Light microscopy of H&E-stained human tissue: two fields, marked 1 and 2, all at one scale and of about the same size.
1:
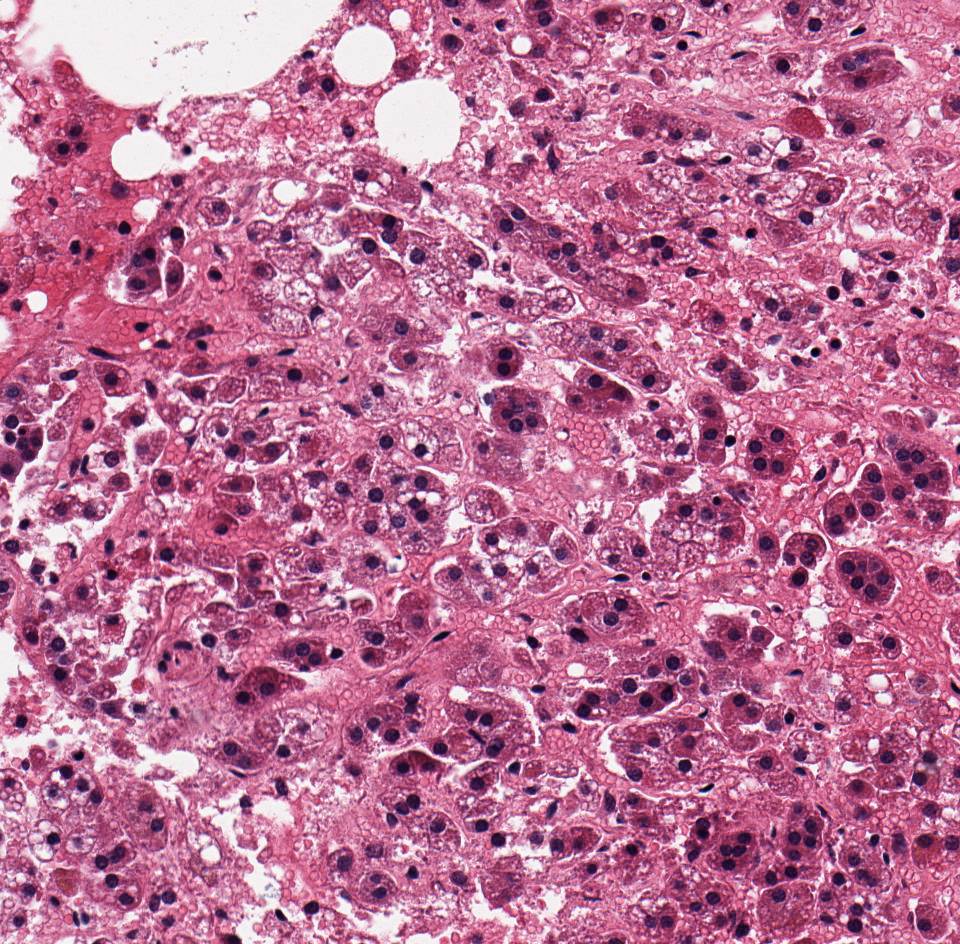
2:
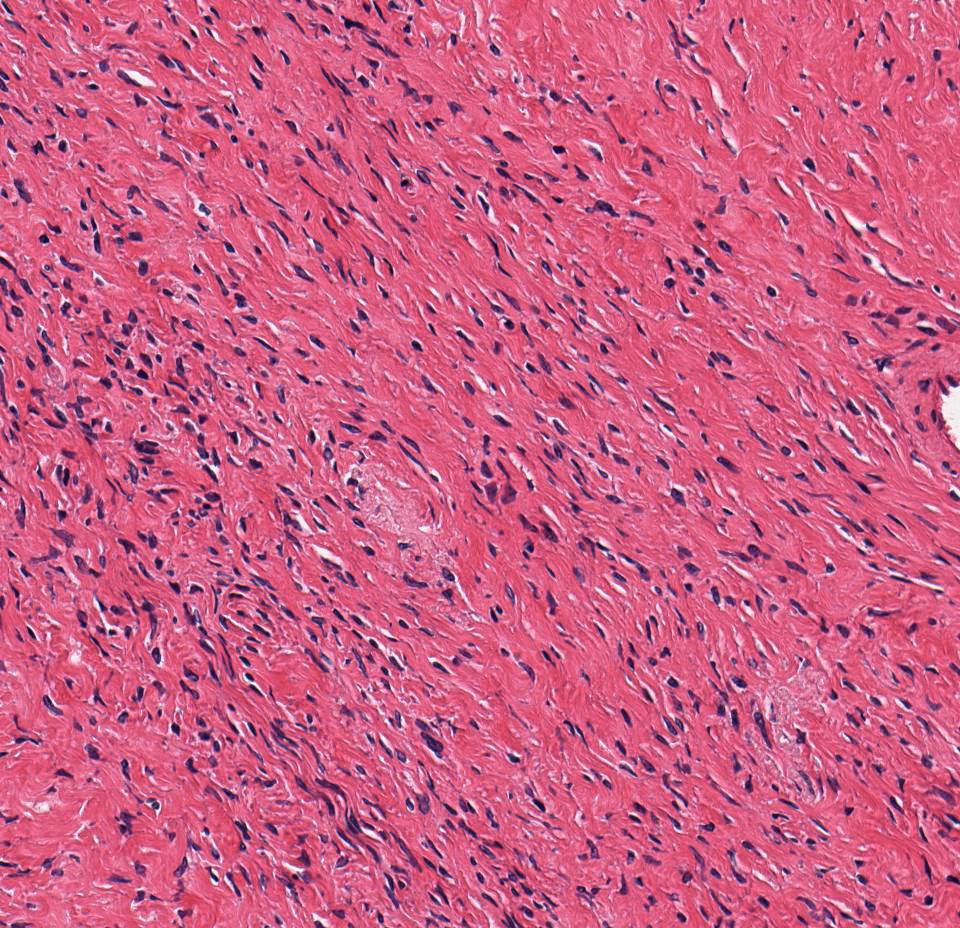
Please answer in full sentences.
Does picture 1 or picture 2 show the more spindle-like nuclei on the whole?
Longer, more slender nuclei lie in picture 2.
